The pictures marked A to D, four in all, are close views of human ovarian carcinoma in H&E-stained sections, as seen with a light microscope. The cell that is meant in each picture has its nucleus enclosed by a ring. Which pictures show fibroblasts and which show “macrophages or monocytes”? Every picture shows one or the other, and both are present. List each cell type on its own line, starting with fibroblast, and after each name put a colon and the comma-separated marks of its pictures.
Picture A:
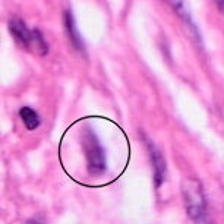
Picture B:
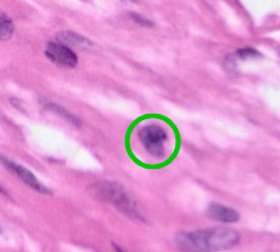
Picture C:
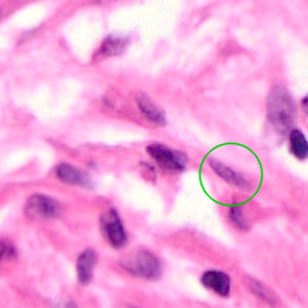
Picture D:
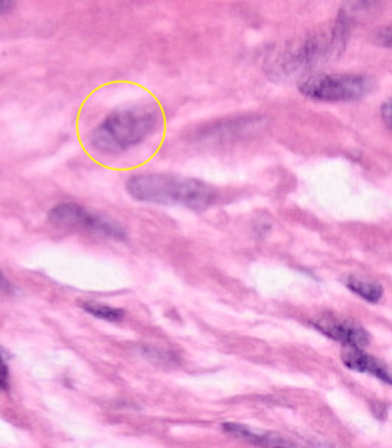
fibroblast: A, C, D
macrophage or monocyte: B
